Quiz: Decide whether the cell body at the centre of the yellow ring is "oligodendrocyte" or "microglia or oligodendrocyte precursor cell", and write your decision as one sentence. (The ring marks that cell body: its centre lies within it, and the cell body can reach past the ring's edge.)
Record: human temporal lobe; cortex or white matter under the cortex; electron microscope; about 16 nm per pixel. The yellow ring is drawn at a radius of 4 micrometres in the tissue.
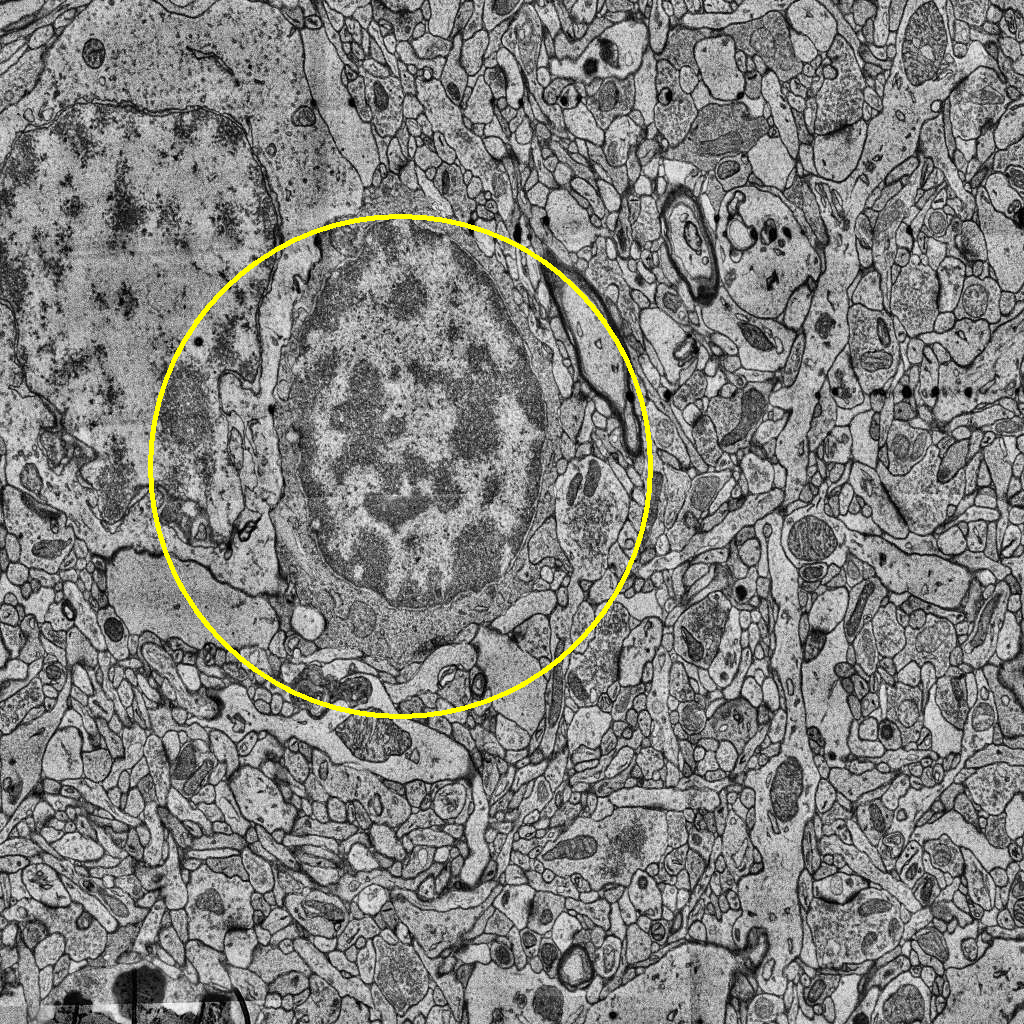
The cell holding the ring's centre is an oligodendrocyte.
